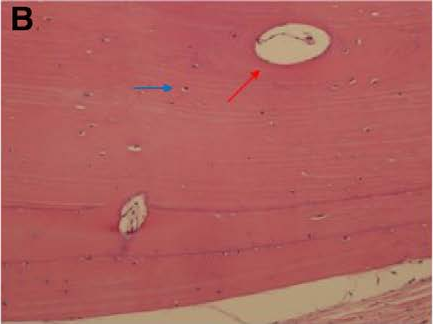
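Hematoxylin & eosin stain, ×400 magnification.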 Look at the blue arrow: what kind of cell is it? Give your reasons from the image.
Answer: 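Osteocytes. Small dark nucleus in a tiny lacuna. Embedded singly within the pink bone matrix. Many similar small lacunae scattered along the lamellae.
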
